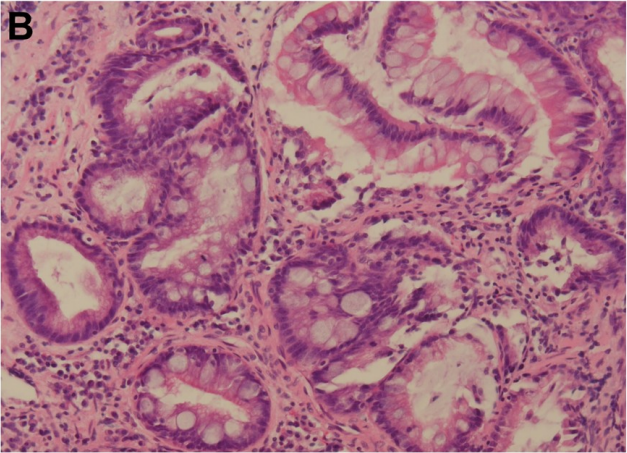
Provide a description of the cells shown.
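Several glands are cut across and lengthwise, each lined by a single layer of tall columnar cells with elongated, purple nuclei at the base. Among these columnar cells lie many rounded goblet cells whose cytoplasm is swollen with pale, almost clear mucin, and their small nuclei are pressed toward the base. The glands are separated by pink stroma scattered with small dark nuclei of inflammatory and stromal cells.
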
